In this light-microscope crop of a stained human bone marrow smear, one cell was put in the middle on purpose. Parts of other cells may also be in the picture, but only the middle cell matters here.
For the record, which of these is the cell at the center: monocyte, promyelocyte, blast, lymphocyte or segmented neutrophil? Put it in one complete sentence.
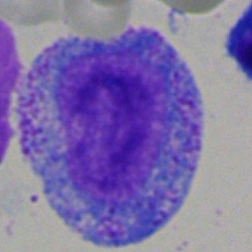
The cell found in the middle of this crop is a promyelocyte.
